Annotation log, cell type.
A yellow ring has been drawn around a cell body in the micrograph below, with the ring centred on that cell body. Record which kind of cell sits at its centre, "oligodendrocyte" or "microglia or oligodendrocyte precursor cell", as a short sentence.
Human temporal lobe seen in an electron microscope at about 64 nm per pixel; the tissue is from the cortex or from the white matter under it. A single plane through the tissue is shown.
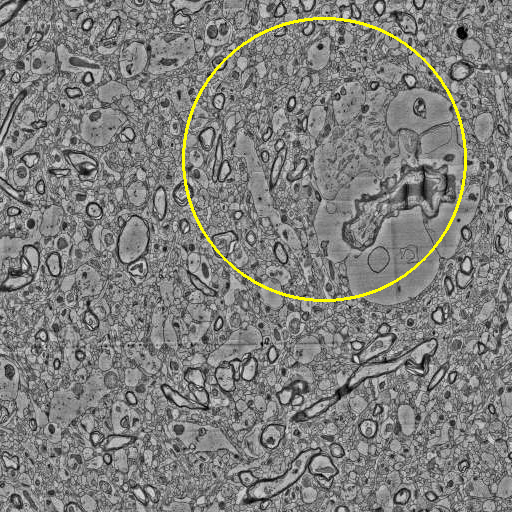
The cell at the centre of this ring is a microglial cell or oligodendrocyte precursor cell.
